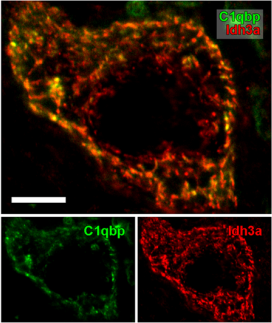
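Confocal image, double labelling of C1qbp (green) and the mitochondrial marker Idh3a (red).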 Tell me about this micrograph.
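This confocal image shows a single cell body whose cytoplasm is filled with a dense network of red threads and dots, surrounding a large dark unlabelled central region where the nucleus lies. The small images below show the green and red channels separately, with the red network clearly denser than the green puncta.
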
